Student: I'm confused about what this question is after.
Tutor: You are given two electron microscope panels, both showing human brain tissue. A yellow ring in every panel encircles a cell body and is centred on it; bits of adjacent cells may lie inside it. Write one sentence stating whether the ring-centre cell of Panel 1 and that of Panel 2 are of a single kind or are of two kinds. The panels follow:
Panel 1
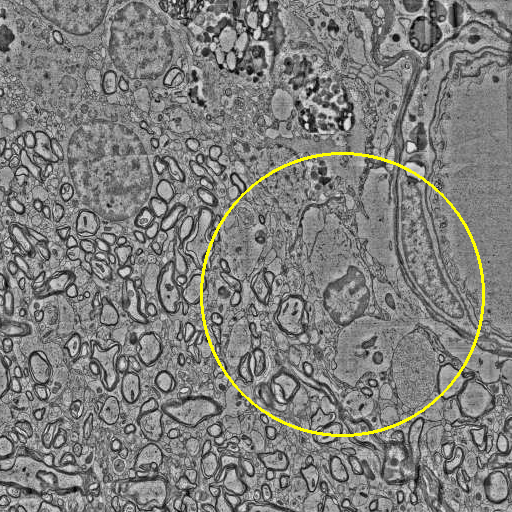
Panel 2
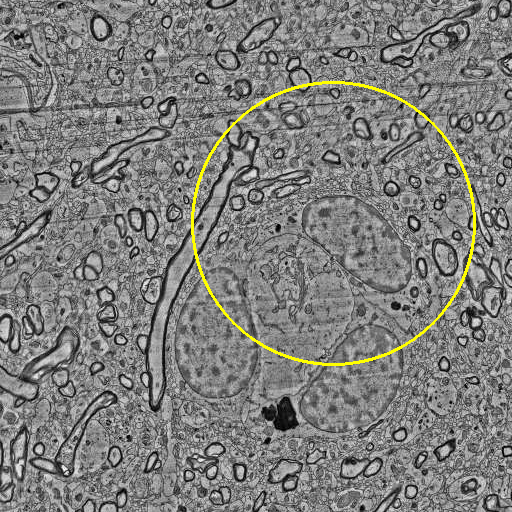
Here, the Panel 1 ring-centre cell and the Panel 2 ring-centre cell are of a single kind.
